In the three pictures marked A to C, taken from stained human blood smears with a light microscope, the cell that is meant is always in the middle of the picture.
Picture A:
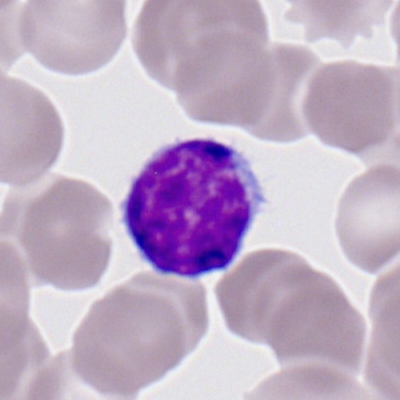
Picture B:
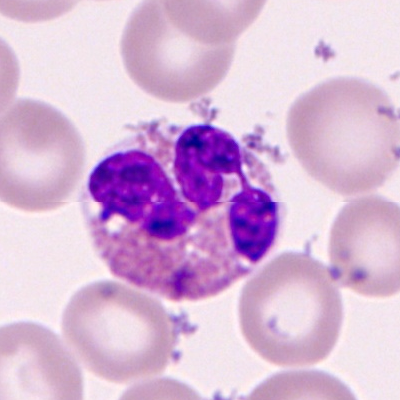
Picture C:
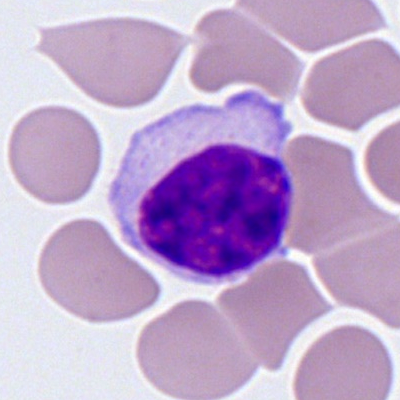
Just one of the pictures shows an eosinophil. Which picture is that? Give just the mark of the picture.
B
